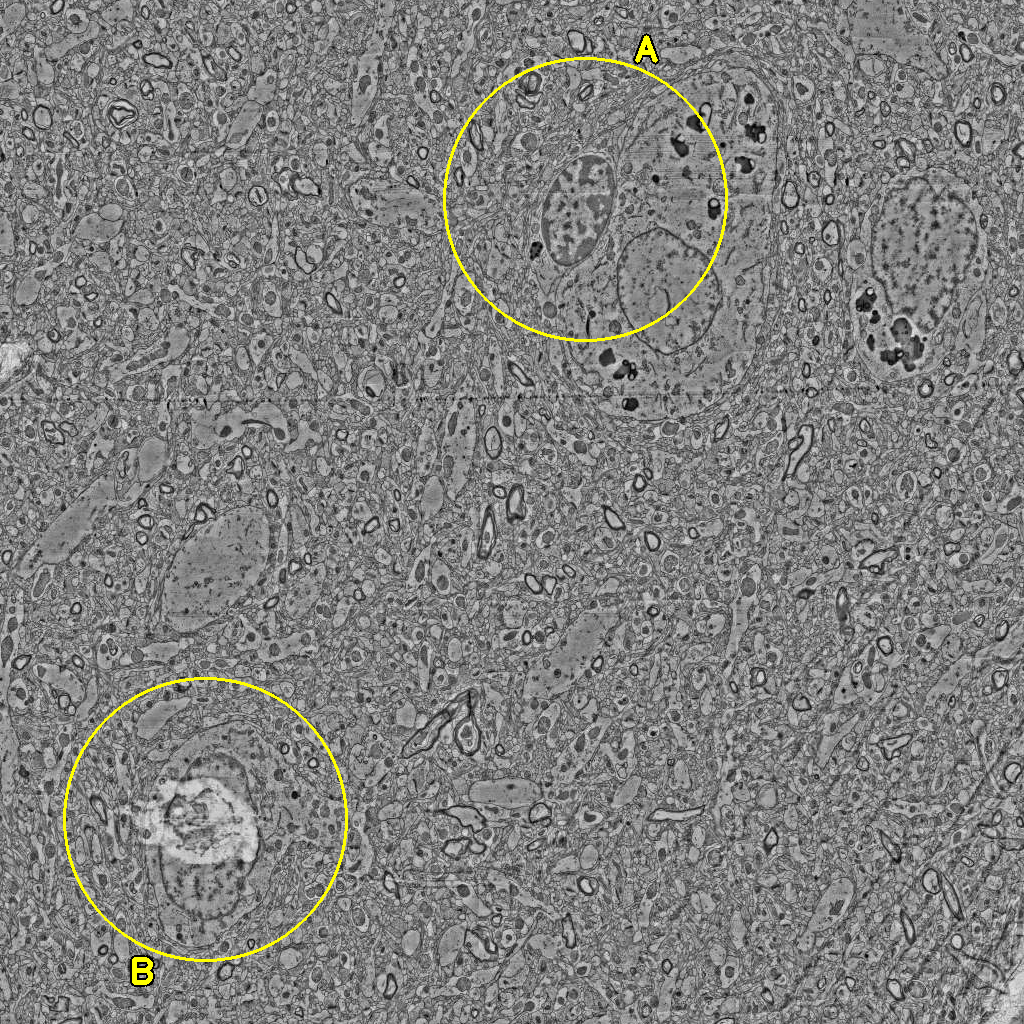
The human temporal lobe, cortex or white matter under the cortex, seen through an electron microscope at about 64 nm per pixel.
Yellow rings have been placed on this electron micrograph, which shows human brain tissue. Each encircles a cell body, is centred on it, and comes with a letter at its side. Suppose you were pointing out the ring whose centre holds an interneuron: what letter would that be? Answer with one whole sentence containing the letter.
The ring I would point to, centred on the cell in question, is B.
